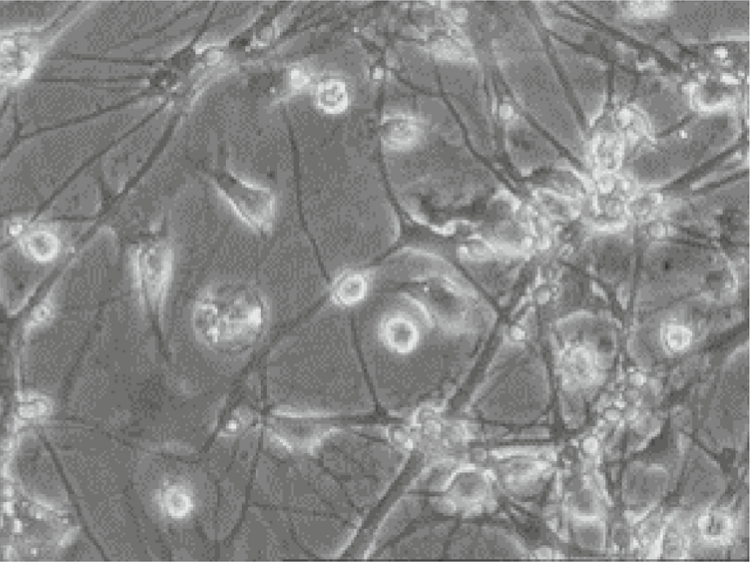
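This is a culture of neurons, seen in phase contrast, in which the cells have formed many connections between them. Long, thin, dark processes run across the whole field and branch, forming a dense network. Rounded phase-bright cell bodies with bright halos sit at points along this network. Some cells gather into bright clusters from which several processes radiate. Flatter, spread cells with a paler, grainy cytoplasm lie in the background beneath the network.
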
